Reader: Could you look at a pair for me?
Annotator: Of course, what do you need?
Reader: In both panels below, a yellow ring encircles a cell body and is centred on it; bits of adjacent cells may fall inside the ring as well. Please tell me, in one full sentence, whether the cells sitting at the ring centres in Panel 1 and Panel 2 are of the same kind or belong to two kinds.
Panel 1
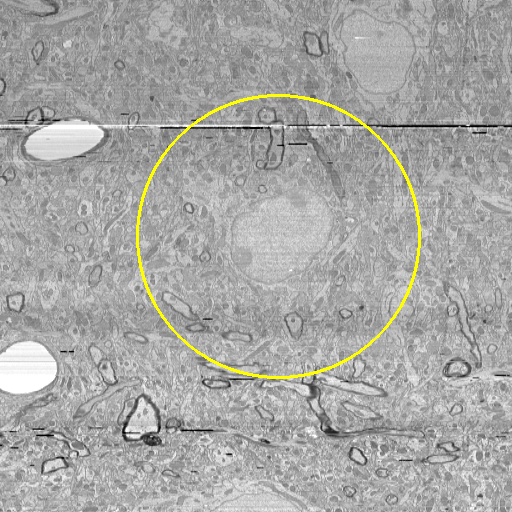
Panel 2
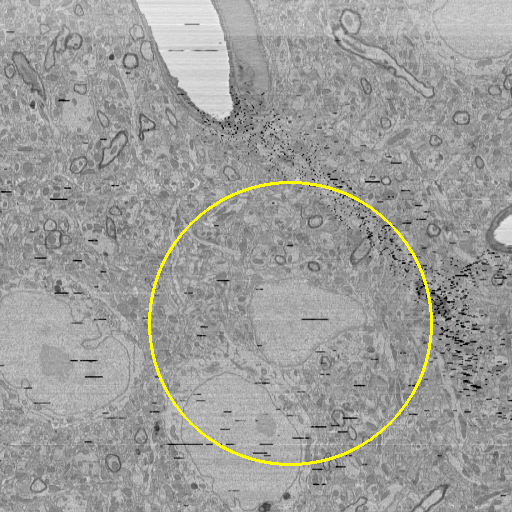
The cell at the ring's centre in Panel 1 and the one in Panel 2 are of the same kind.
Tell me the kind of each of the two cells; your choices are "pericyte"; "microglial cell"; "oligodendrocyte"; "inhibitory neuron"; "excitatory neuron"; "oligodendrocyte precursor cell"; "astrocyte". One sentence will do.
Both the first and the second picture show an astrocyte in the ring.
